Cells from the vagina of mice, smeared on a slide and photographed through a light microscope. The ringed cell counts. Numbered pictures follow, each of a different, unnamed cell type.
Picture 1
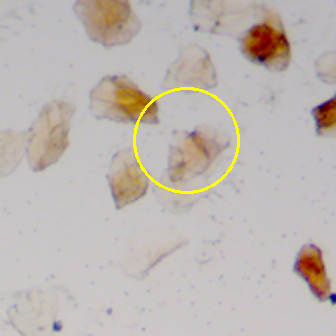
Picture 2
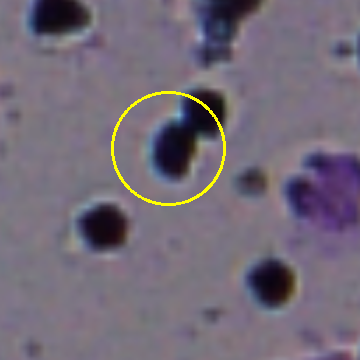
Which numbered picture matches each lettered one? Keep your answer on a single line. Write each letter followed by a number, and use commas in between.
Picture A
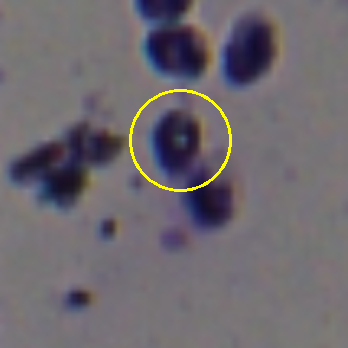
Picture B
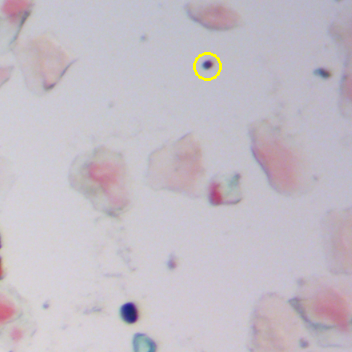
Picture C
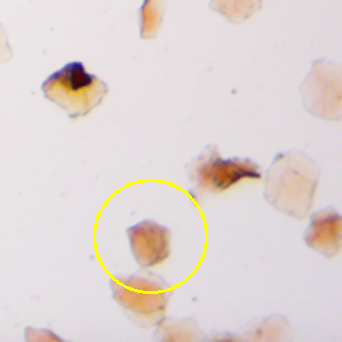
A 2, B 2, C 1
